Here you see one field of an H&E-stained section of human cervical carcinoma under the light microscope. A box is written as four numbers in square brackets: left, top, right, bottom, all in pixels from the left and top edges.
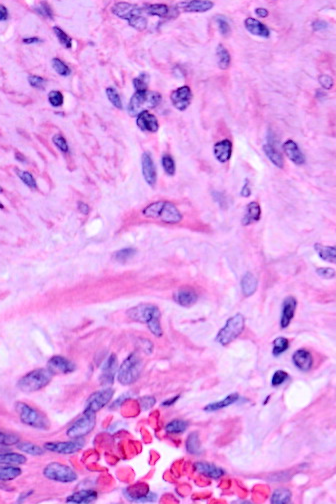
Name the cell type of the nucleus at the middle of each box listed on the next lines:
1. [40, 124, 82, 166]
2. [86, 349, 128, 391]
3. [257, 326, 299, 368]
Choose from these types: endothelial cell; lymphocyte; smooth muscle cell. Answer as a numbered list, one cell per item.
1. smooth muscle cell
2. endothelial cell
3. lymphocyte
